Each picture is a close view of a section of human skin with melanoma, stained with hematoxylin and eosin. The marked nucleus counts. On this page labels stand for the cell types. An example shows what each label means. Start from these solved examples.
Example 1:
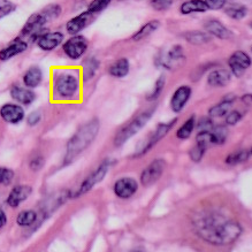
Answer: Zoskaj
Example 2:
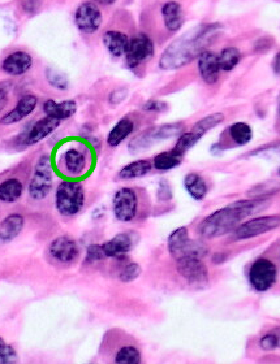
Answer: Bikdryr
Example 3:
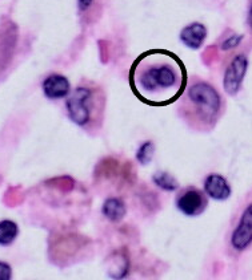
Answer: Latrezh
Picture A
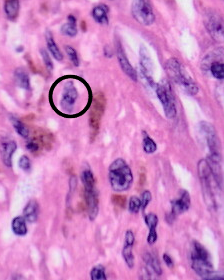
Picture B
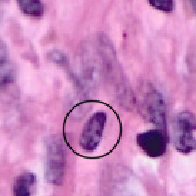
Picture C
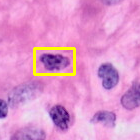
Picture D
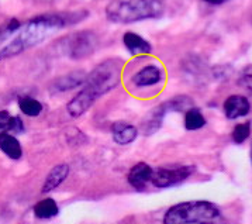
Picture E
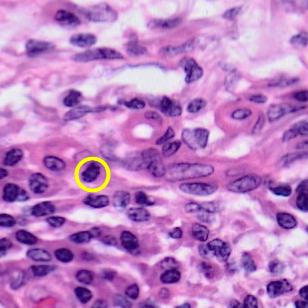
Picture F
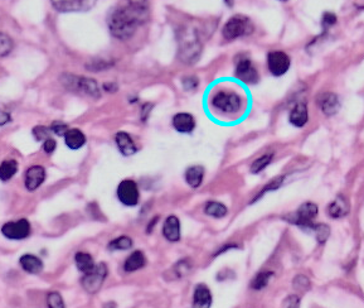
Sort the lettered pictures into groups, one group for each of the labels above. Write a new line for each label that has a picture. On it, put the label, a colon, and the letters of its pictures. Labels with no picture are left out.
Zoskaj: A, B, C, D
Bikdryr: E, F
